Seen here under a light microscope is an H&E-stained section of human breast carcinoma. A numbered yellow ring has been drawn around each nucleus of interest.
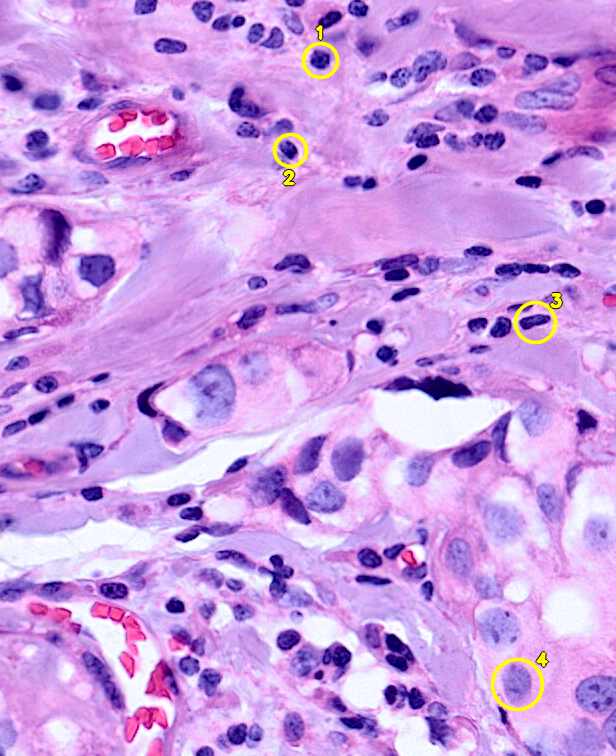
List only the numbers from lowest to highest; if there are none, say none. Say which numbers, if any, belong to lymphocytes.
1, 2, 3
